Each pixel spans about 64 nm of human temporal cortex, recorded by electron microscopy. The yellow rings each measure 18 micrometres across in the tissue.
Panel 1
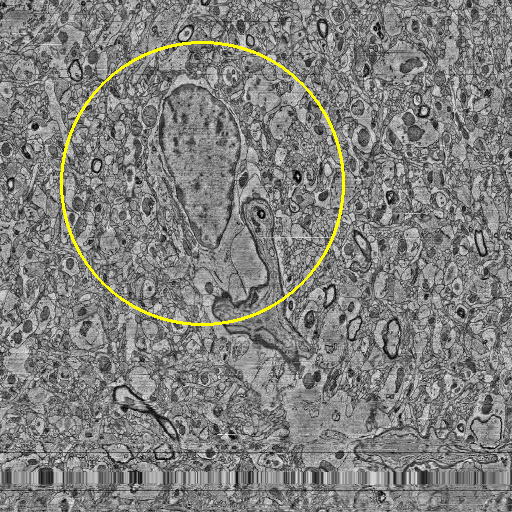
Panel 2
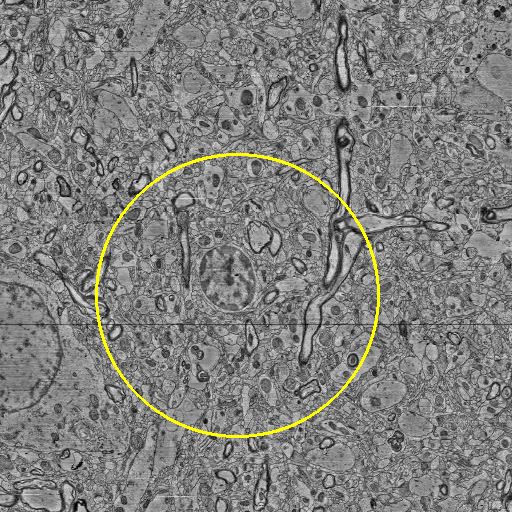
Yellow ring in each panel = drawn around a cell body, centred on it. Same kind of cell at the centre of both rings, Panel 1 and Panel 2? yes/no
yes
